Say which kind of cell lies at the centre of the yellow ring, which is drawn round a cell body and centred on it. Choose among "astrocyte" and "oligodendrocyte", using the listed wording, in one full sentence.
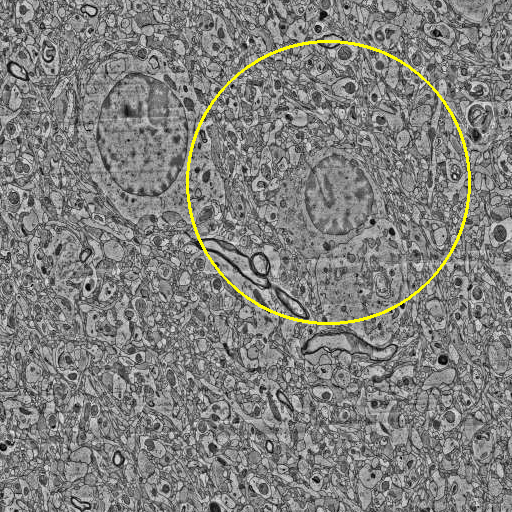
Going by the list, the cell at the yellow ring's centre is an oligodendrocyte.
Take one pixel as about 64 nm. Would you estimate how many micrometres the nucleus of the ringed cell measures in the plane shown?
About 5 by 4 micrometers, in this plane.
